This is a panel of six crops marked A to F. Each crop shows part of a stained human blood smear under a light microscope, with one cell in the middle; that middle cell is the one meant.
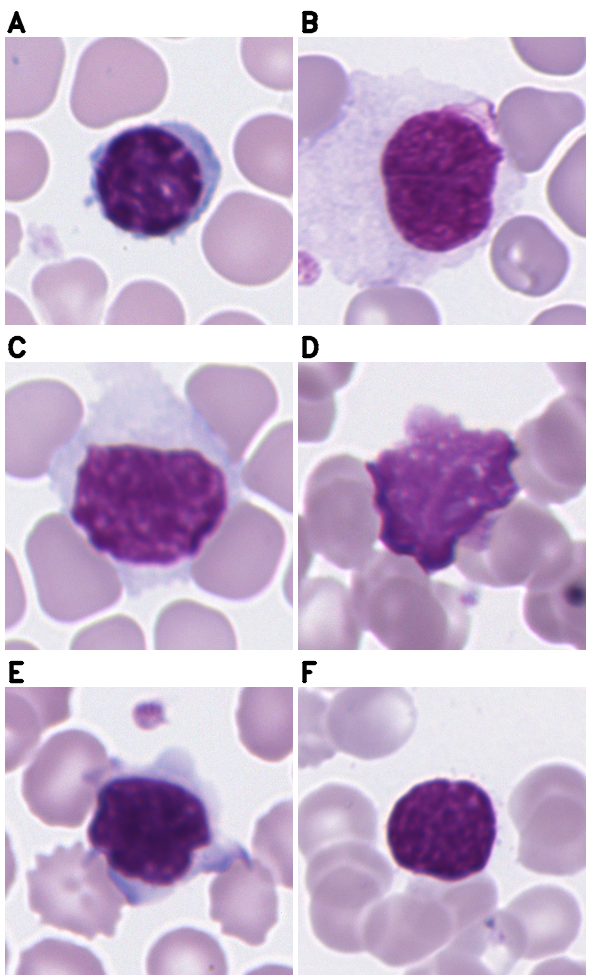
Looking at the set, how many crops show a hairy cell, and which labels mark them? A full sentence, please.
Crops B and C are those with hairy cells, two crops in total.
